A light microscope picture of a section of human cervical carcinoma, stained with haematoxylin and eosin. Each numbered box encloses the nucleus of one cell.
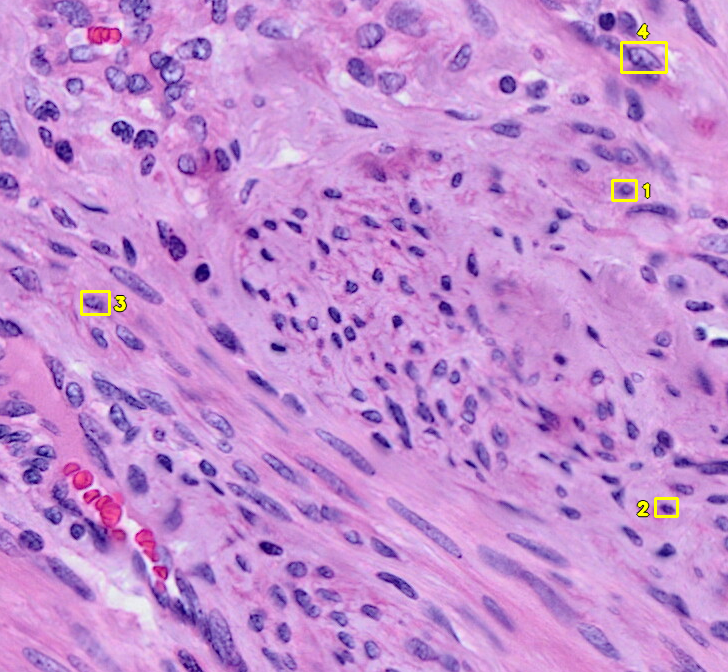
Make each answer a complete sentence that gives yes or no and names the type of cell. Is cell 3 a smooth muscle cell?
Yes, the cell at number 3 is a smooth muscle cell.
